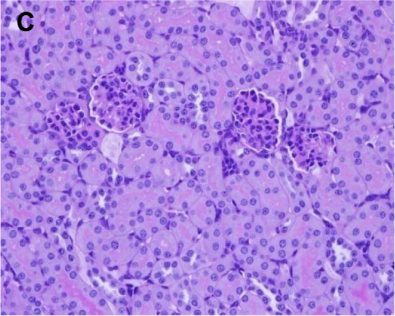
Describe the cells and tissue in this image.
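This is kidney cortex showing several glomeruli among tightly packed tubules. Narrow interstitial spaces with a few elongated nuclei lie between tubules. The glomeruli are dense and cellular, and the tissue as a whole appears uniform with no obvious damage.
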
